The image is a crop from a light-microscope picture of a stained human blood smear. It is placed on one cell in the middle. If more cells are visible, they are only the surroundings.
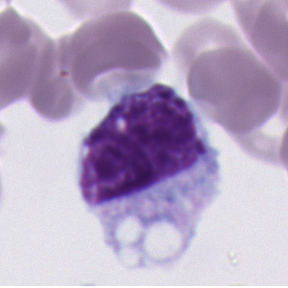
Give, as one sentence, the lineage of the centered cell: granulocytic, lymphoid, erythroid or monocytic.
The centered cell is one of the monocytic lineage.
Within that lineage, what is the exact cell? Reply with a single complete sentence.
This crop's central cell is a monocyte.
